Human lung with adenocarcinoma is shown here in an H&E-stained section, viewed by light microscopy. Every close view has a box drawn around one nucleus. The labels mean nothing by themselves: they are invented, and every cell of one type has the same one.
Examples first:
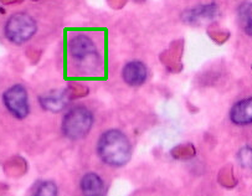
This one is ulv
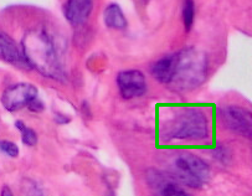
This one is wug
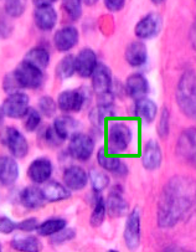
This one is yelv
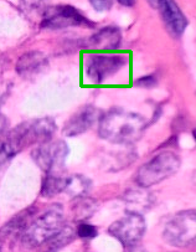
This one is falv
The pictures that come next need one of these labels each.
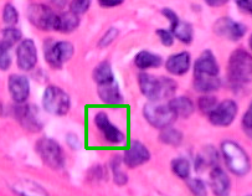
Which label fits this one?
yelv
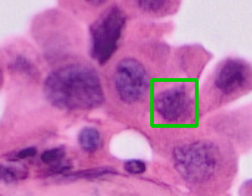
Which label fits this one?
wug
